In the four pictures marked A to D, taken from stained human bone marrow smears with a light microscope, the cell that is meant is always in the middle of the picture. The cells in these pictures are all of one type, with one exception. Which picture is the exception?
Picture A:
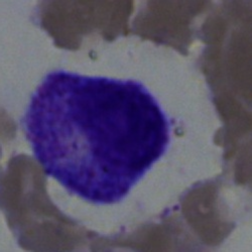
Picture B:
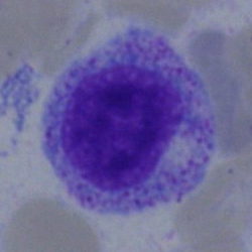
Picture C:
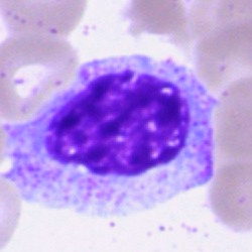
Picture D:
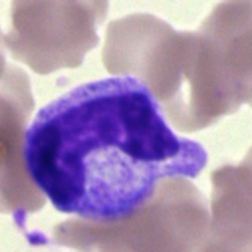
D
